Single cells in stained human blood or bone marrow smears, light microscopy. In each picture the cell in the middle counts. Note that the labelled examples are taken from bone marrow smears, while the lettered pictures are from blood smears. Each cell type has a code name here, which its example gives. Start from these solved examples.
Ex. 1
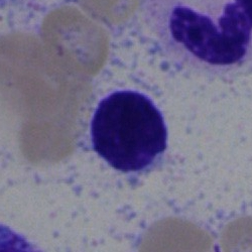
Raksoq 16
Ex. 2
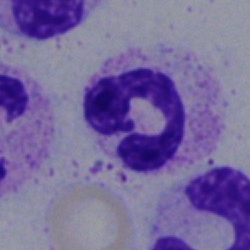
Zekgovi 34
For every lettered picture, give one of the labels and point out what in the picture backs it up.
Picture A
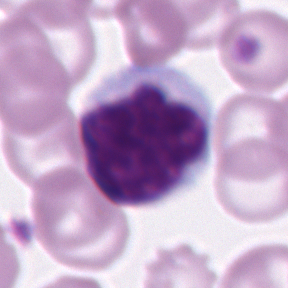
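Label: Raksoq 16. Only a narrow rim of pale blue cytoplasm surrounds the nucleus.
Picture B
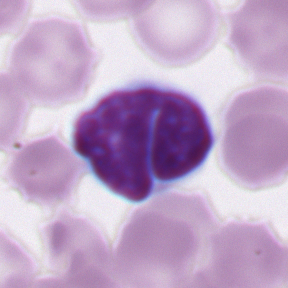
Label: Raksoq 16. The cytoplasm is only a very thin pale blue rim, seen best along the lower-left border.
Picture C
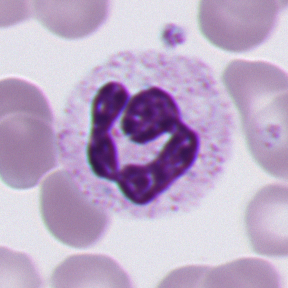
Label: Zekgovi 34. The nuclear lobes are arranged in a ring around a paler central area.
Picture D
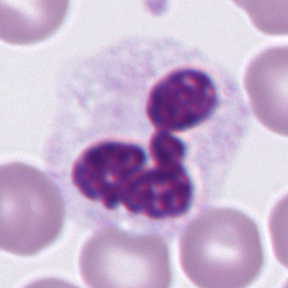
Label: Zekgovi 34. The cytoplasm is plentiful and very pale, almost colourless.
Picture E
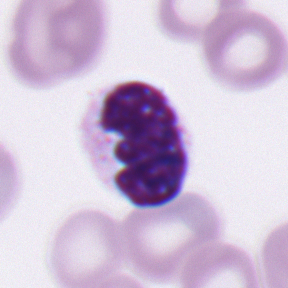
Label: Zekgovi 34. The cytoplasm is pale pink and lies mostly on the left side of the nucleus.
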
